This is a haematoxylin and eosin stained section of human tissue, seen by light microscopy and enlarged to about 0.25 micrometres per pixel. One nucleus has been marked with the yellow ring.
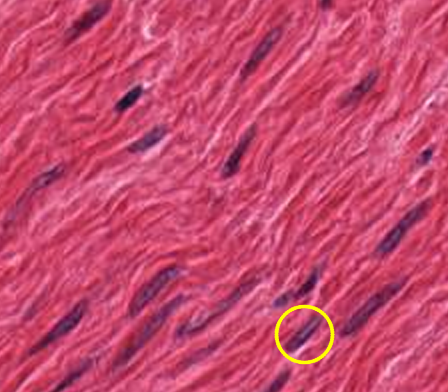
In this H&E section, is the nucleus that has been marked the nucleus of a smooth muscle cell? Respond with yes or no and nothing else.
yes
